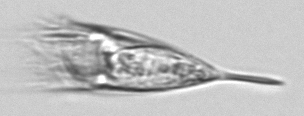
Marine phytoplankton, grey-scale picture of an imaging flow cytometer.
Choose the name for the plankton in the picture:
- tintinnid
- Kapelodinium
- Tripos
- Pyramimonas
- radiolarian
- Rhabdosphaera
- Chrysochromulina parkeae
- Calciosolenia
tintinnid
